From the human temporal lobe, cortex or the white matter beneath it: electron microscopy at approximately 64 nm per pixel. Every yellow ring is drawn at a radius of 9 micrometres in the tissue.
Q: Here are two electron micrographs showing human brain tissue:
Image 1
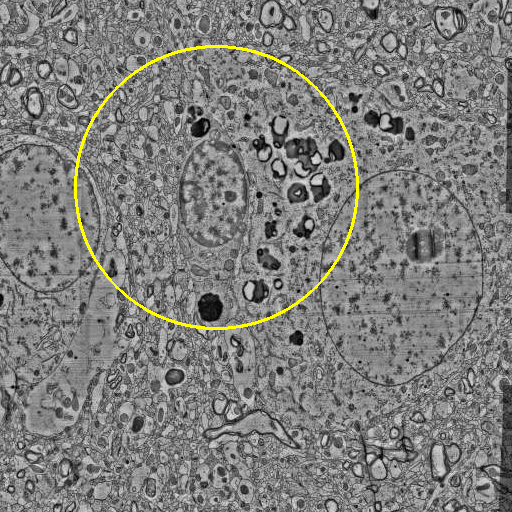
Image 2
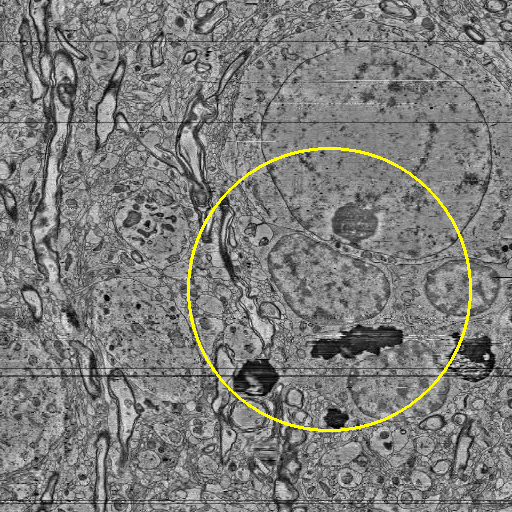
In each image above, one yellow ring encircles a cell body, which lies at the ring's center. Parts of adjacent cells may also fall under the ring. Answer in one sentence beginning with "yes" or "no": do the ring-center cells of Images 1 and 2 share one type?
Yes, in Images 1 and 2, the ring-center cells are both of one type.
